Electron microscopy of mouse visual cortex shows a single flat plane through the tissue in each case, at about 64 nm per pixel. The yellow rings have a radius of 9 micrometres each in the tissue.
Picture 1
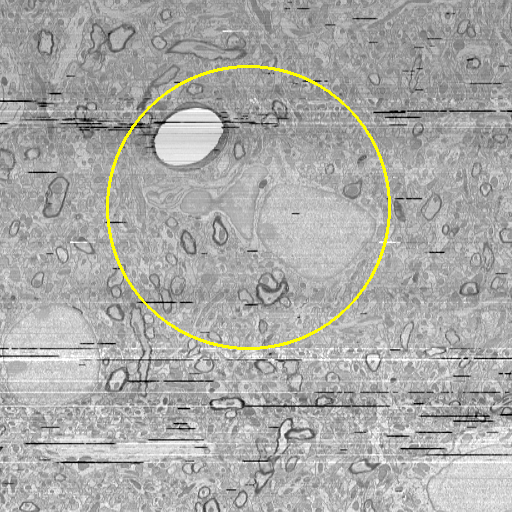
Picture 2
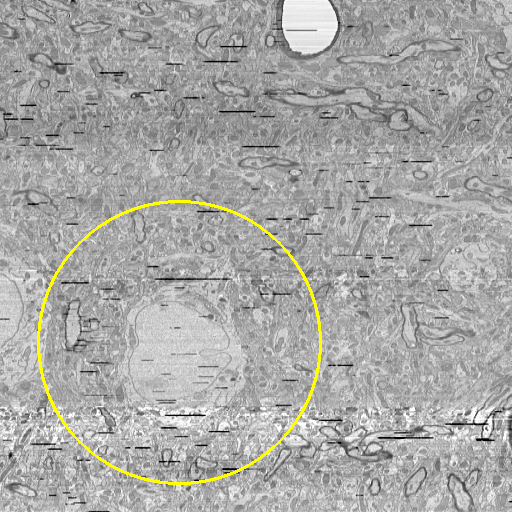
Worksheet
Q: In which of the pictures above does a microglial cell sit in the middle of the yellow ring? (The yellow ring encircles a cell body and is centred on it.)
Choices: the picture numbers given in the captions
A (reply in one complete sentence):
In picture 1, the cell sitting at the centre of the ring is the match.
